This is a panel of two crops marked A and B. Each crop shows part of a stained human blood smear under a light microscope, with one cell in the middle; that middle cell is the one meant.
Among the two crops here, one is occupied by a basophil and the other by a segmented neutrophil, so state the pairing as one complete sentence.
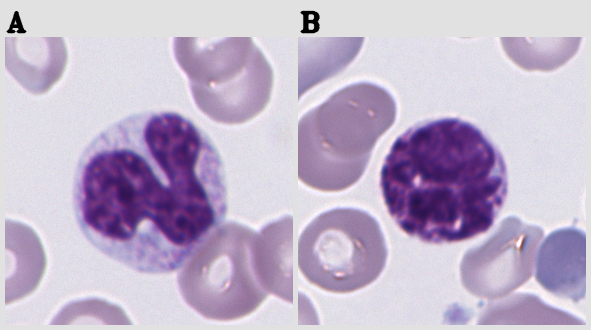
The middle of crop A is occupied by a segmented neutrophil, and the middle of crop B by a basophil.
